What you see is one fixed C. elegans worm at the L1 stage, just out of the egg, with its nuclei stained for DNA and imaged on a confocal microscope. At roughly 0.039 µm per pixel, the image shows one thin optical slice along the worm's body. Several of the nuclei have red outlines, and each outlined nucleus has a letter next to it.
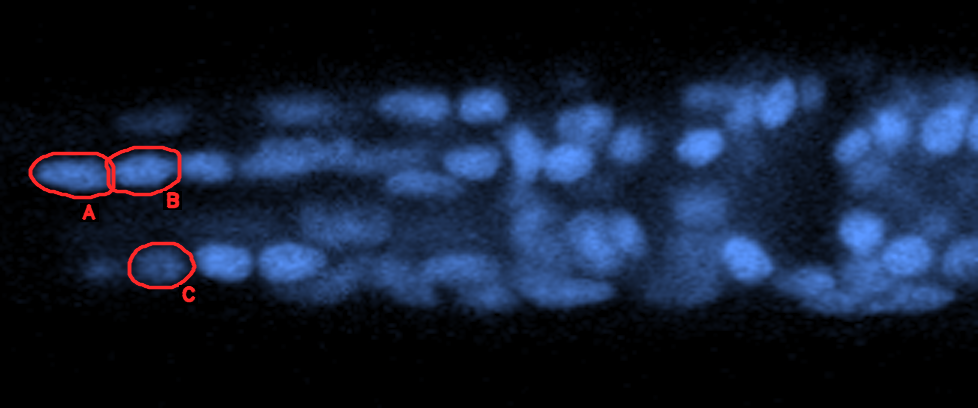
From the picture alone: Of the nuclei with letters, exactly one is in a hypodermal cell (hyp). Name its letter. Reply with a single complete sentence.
C is the nucleus of a hypodermal cell (hyp).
